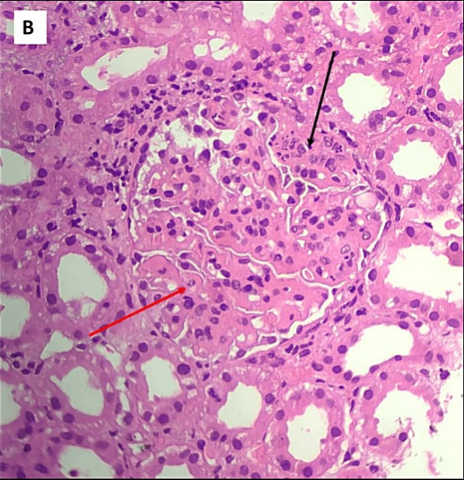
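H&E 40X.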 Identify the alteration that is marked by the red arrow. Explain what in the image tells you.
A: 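The arrow points to a glomerular capillary loop with a thickened, glassy pink wall.
Wire loop lesion.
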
